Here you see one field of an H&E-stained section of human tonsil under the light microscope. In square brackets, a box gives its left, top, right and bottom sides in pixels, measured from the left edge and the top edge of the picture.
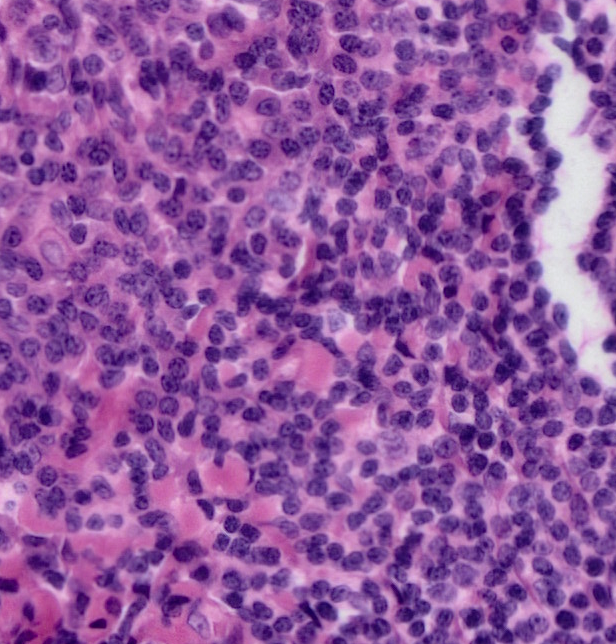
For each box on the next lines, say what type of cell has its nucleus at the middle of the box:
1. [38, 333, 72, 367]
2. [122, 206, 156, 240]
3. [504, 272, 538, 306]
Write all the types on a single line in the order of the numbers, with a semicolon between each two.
plasma cell; plasma cell; small lymphocyte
